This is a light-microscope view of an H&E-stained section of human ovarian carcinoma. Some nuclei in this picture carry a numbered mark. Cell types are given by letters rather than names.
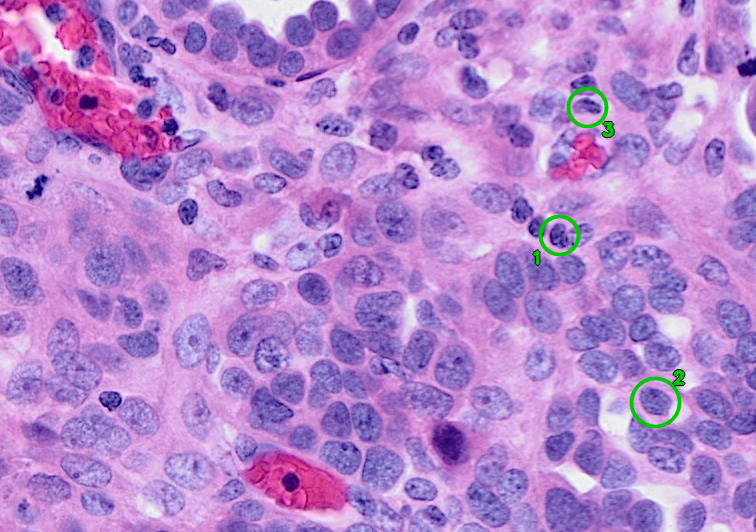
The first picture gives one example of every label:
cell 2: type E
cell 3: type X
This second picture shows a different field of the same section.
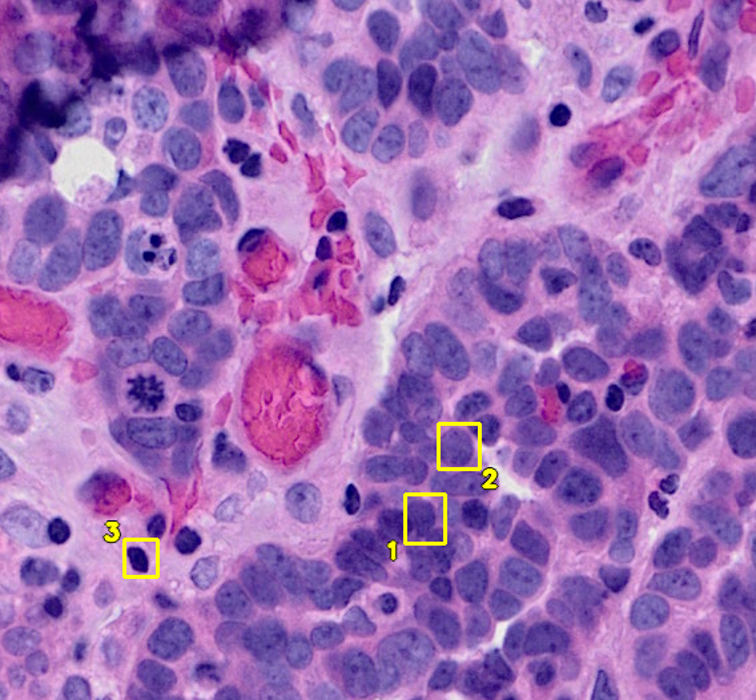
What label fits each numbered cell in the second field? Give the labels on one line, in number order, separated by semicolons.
type E; type E; type X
